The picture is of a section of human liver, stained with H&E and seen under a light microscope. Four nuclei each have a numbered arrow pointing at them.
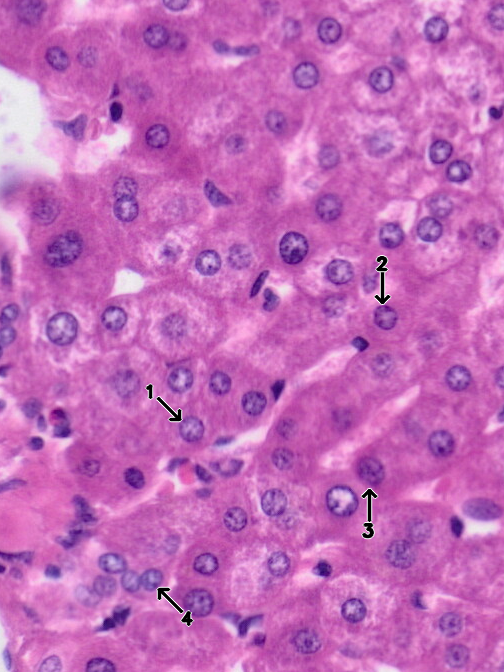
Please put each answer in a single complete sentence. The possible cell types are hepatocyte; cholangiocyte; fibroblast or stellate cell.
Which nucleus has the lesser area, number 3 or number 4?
Nucleus 4 is the smaller one; nucleus 3 covers about 1.5 times its area.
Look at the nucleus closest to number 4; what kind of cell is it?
The nucleus nearest to number 4 is that of a cholangiocyte.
